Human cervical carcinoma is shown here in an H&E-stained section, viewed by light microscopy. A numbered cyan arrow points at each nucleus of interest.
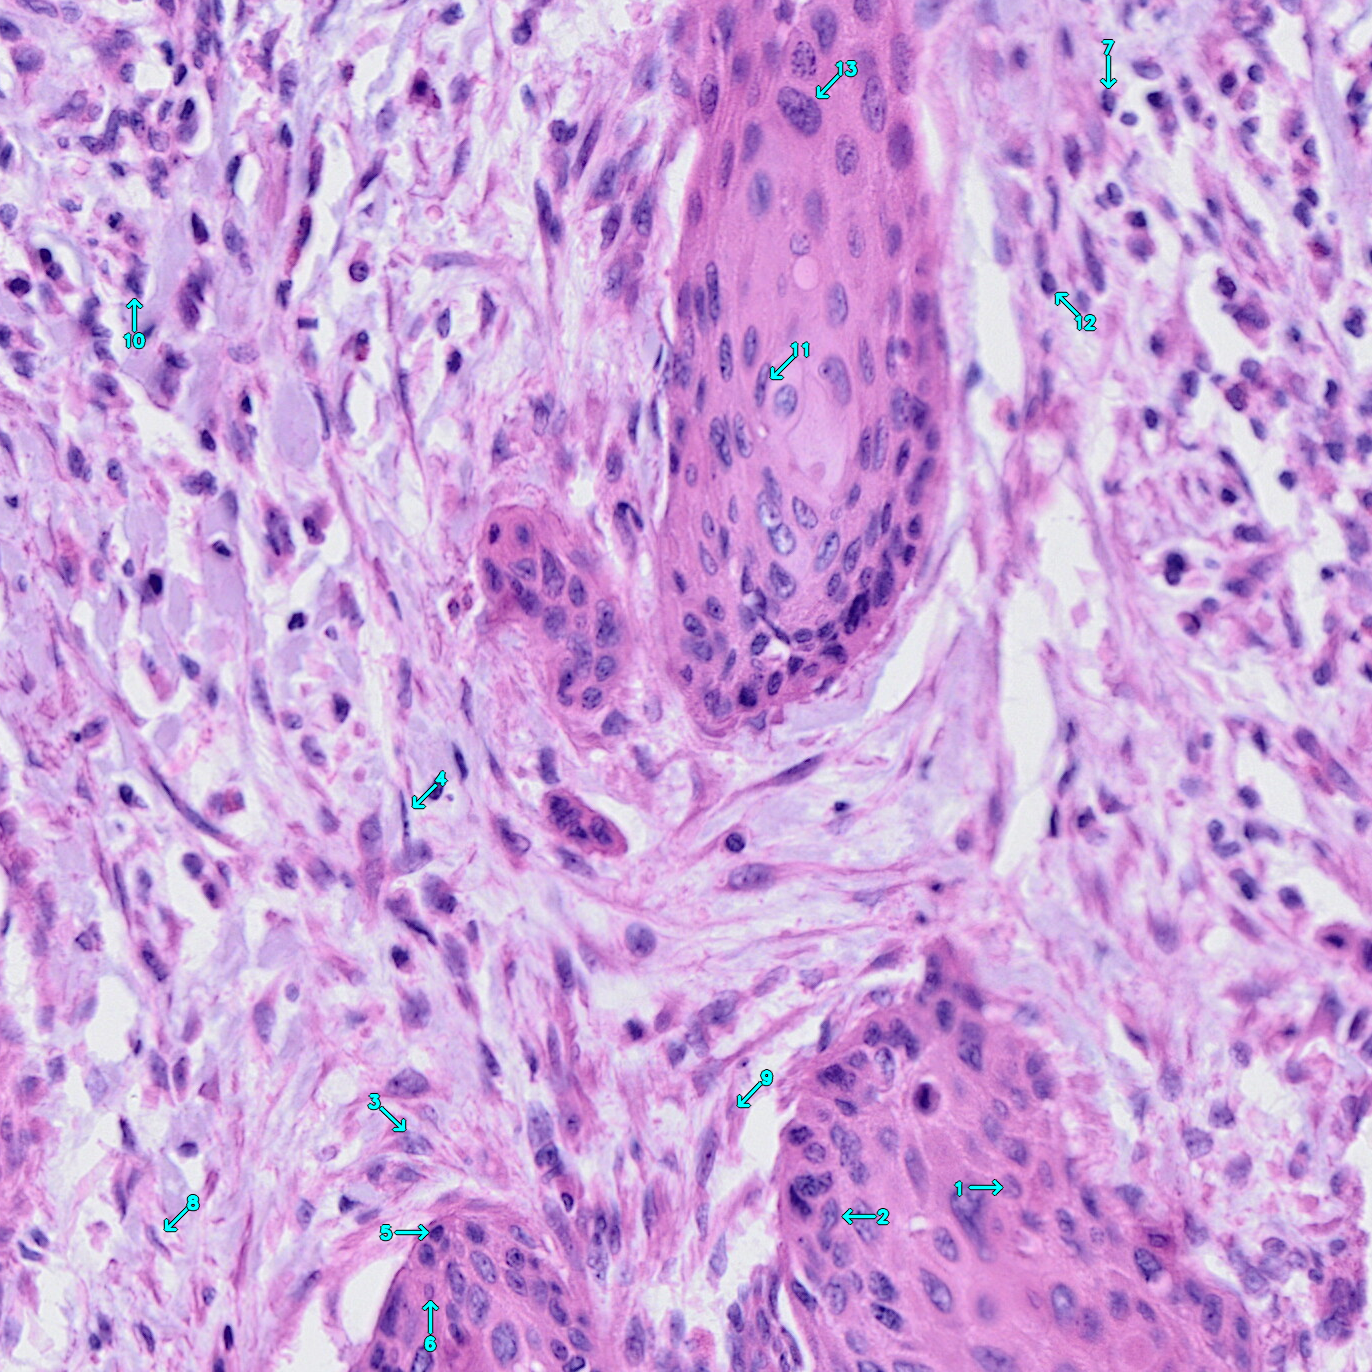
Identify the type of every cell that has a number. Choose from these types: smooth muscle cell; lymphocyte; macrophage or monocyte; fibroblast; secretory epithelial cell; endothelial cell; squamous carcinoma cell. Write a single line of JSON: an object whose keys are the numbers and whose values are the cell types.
{"1": "squamous carcinoma cell", "2": "squamous carcinoma cell", "3": "fibroblast", "4": "fibroblast", "5": "squamous carcinoma cell", "6": "squamous carcinoma cell", "7": "lymphocyte", "8": "fibroblast", "9": "fibroblast", "10": "lymphocyte", "11": "squamous carcinoma cell", "12": "lymphocyte", "13": "squamous carcinoma cell"}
